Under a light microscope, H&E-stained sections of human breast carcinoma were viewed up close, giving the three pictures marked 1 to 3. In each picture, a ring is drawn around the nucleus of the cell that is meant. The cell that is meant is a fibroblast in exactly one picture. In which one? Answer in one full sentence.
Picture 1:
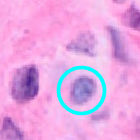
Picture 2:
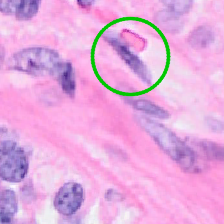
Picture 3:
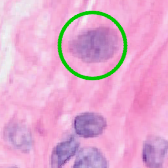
The fibroblast is the one in picture 3.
